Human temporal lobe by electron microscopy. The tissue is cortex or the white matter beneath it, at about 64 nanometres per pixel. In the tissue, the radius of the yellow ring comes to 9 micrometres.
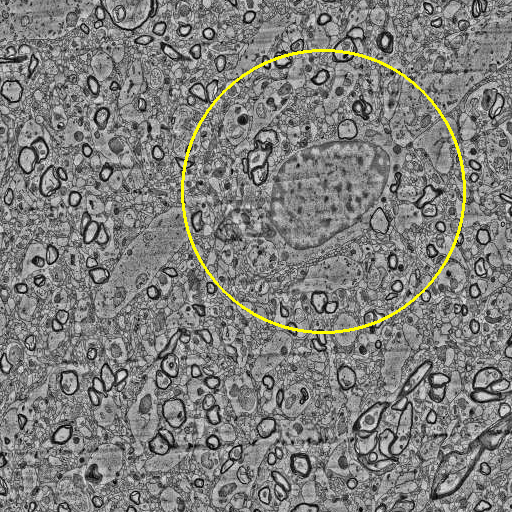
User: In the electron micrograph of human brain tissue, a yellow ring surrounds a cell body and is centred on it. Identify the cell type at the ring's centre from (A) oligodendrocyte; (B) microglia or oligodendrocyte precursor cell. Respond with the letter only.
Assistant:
A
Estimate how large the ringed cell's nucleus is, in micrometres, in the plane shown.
The nucleus is approximately 8 micrometers long by 6 micrometers wide in this plane.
